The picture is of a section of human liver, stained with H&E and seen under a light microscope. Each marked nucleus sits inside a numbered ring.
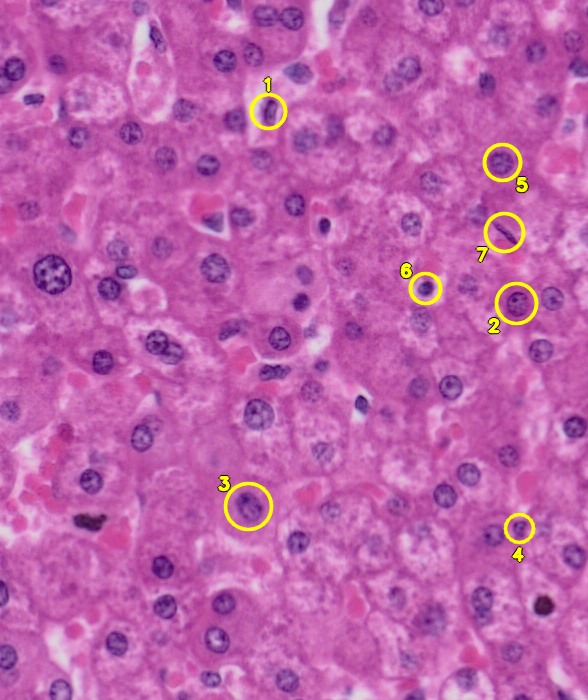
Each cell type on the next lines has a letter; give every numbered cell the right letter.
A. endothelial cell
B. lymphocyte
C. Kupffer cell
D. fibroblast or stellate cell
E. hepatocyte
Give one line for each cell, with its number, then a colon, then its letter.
1: C
2: E
3: E
4: D
5: E
6: B
7: A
